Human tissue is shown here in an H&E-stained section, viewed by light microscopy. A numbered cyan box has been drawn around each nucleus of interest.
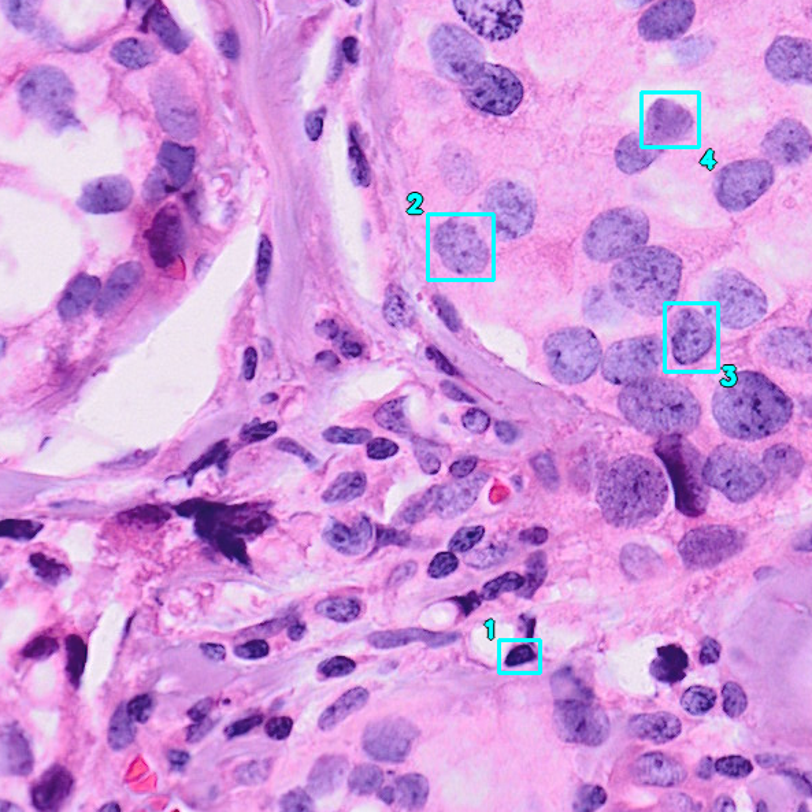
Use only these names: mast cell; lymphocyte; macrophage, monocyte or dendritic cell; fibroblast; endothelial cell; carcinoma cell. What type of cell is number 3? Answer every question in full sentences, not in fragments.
The cell to which the number 3 is assigned is a carcinoma cell.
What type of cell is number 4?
The cell carrying label 4 is identified as a carcinoma cell.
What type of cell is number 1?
Classified as a lymphocyte is the cell with the number 1.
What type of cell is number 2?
Denoted by the label 2 in the section is a carcinoma cell.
